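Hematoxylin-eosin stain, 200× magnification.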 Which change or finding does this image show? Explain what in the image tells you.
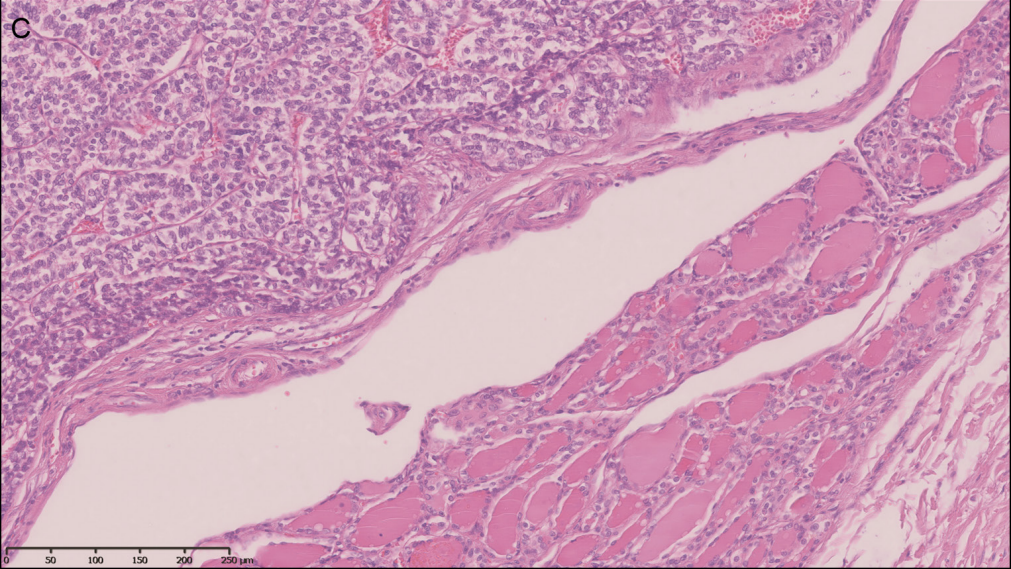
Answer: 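Solid growing. Upper left shows sheets and nests of crowded tumour cells without follicles or colloid. Thin delicate vessels run between the cell nests.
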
